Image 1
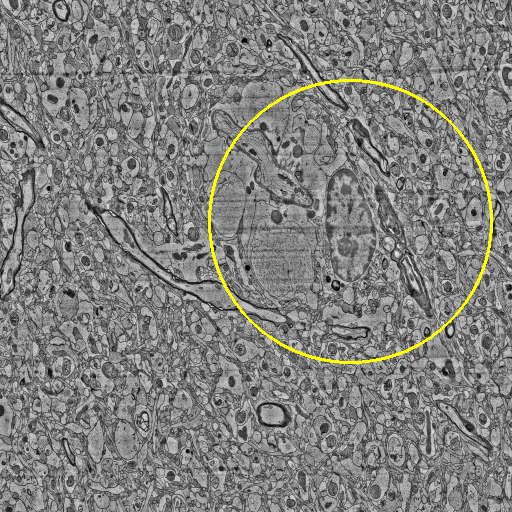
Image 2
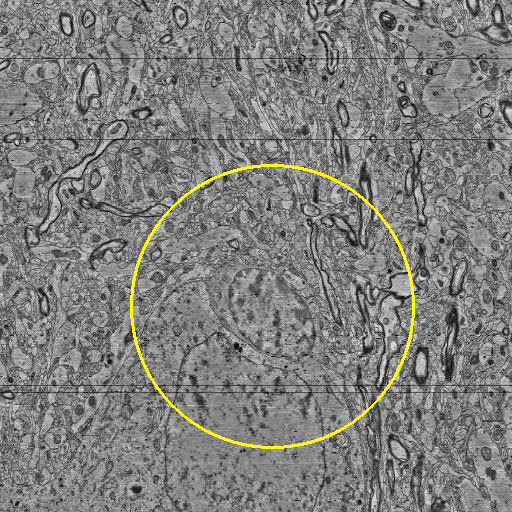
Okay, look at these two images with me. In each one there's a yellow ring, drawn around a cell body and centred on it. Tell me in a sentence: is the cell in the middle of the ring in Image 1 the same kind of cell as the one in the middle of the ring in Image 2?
No, they're two kinds of cell.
